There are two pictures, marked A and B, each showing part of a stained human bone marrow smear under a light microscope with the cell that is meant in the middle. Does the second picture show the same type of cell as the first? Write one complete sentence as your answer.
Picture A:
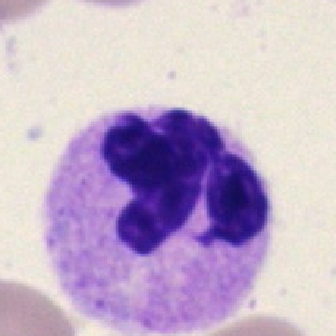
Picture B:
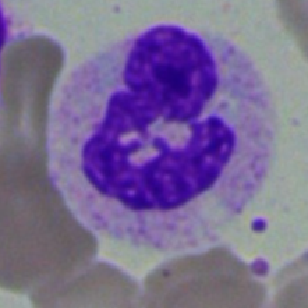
Yes, they are the same type: both are segmented neutrophils.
